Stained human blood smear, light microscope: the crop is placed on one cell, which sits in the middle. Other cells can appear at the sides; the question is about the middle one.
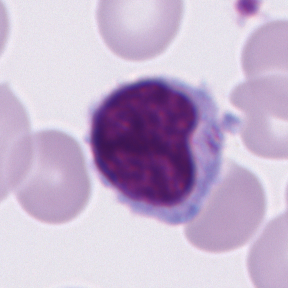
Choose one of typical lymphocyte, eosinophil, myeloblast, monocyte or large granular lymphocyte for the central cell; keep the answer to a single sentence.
The cell at the heart of this crop is a large granular lymphocyte.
